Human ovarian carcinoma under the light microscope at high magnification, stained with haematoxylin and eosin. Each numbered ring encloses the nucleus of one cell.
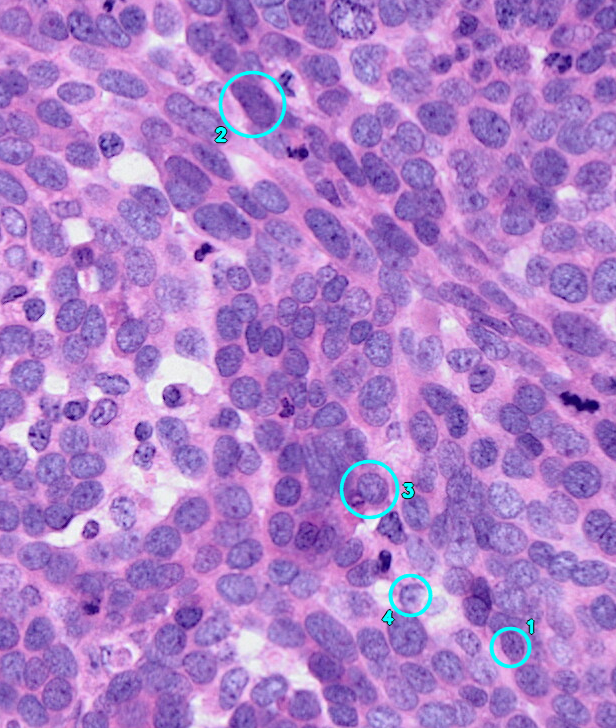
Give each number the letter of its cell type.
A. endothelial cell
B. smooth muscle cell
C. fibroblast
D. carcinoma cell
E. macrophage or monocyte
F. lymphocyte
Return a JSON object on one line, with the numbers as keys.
{"1": "D", "2": "D", "3": "D", "4": "E"}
